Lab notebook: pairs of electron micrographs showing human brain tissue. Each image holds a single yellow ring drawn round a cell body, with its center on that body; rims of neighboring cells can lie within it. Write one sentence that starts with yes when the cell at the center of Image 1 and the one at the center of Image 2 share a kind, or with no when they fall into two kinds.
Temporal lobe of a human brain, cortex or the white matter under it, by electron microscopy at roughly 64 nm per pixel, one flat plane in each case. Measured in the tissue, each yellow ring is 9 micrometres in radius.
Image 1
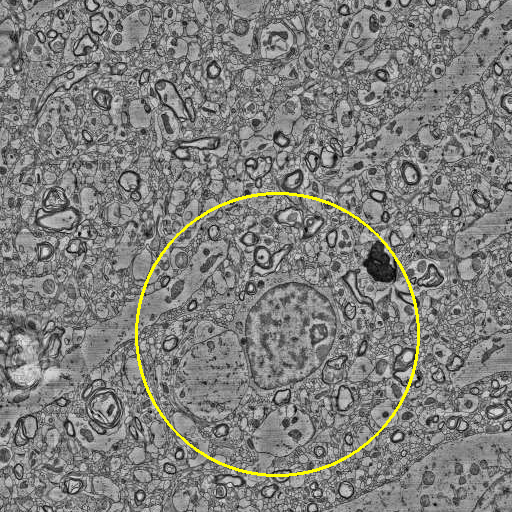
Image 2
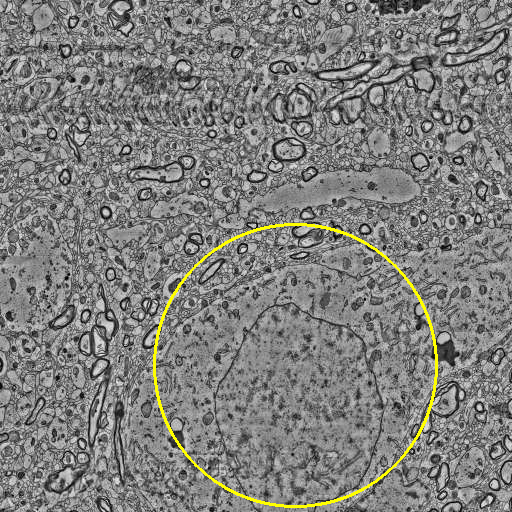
No, the centered cell in Image 1 and the centered cell in Image 2 are of two kinds.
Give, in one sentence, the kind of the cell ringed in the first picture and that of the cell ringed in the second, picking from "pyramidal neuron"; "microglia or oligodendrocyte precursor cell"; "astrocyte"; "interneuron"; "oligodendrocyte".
For the first picture it is an oligodendrocyte; for the second, a pyramidal neuron.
